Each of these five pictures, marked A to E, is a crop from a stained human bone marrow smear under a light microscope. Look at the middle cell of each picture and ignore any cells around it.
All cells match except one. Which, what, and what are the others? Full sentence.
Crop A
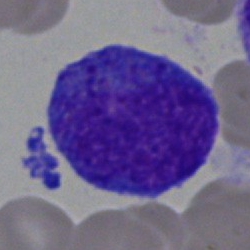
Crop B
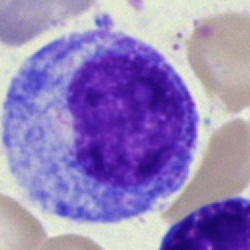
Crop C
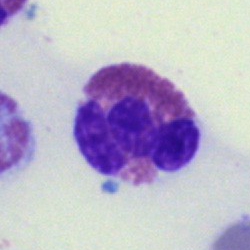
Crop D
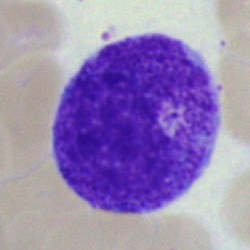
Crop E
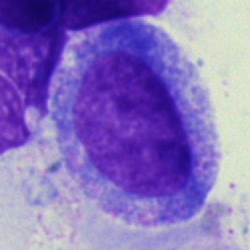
Although the other crops all show promyelocytes, crop C shows an eosinophil.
